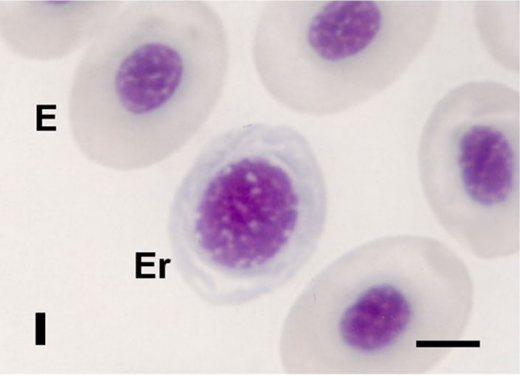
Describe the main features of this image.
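A blood smear showing mature erythrocytes around an erythroblast. The erythrocytes are large flat oval cells with pale grey cytoplasm and a central oval dark purple nucleus. The erythroblast is rounder, with a larger round nucleus of looser chromatin and a narrower rim of pale bluish cytoplasm.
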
